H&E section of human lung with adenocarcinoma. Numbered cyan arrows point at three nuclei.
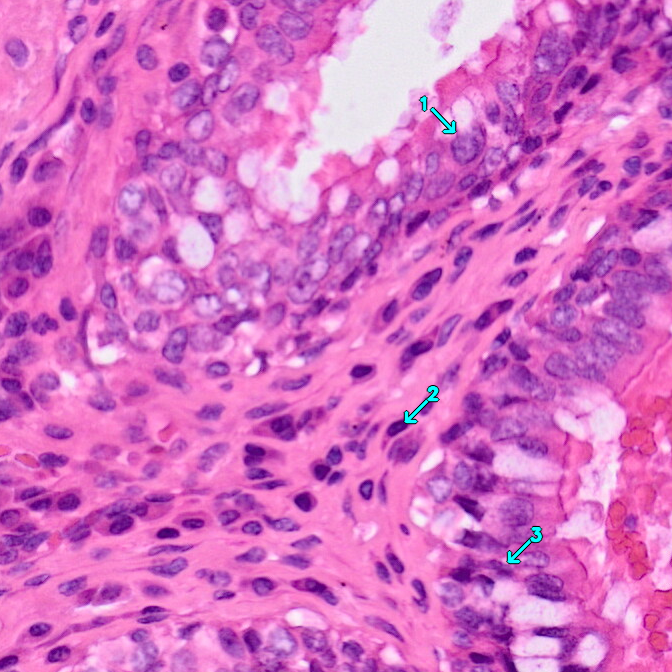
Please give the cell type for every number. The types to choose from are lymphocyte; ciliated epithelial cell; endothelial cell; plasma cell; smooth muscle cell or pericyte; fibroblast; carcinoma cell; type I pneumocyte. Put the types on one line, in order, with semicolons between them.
ciliated epithelial cell; plasma cell; ciliated epithelial cell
